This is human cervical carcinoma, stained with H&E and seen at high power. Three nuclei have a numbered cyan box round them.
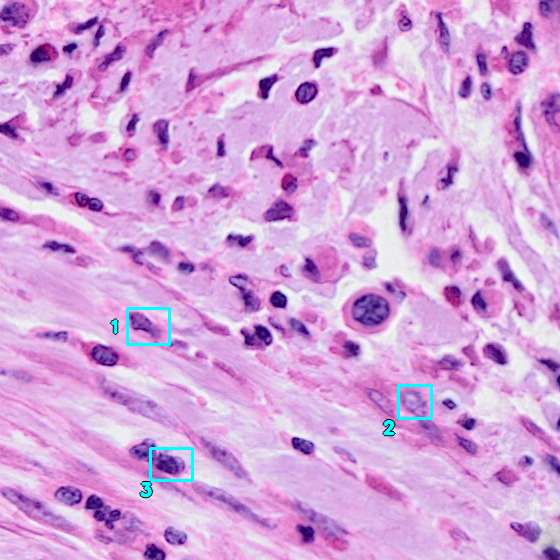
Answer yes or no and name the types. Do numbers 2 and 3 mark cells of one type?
No, as for cell 2, it is an endothelial cell, and cell 3 is a lymphocyte.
